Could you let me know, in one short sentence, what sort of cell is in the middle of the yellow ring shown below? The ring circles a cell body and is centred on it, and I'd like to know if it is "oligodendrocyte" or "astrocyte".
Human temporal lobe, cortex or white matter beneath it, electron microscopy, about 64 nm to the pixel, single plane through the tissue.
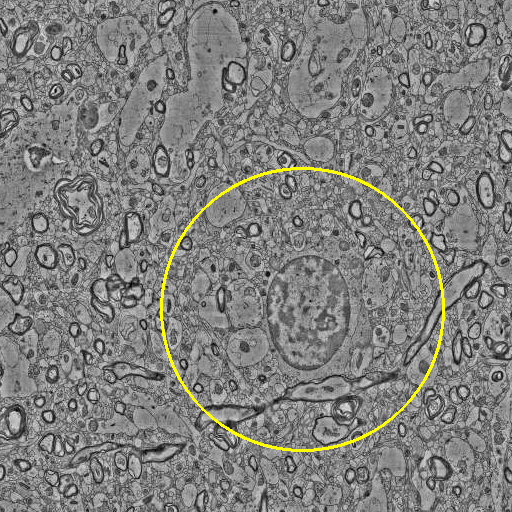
The ring circles the cell body of an oligodendrocyte.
